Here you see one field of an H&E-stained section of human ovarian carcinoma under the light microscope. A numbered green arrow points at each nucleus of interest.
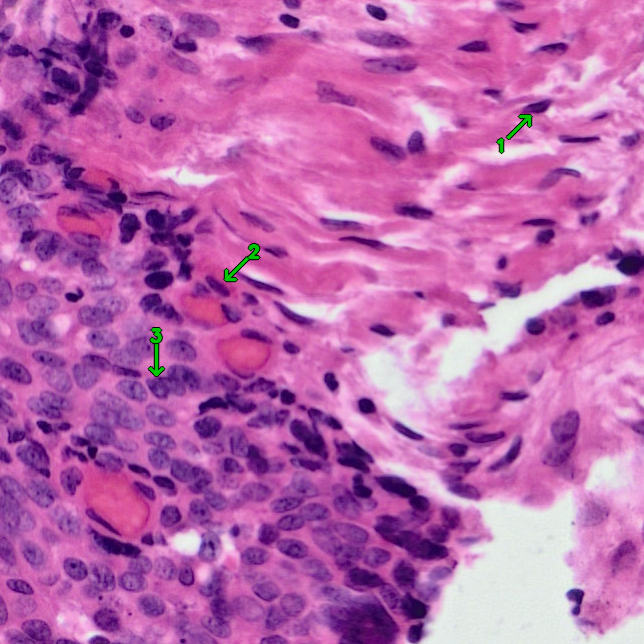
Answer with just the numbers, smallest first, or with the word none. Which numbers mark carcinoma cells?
3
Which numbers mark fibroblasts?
1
